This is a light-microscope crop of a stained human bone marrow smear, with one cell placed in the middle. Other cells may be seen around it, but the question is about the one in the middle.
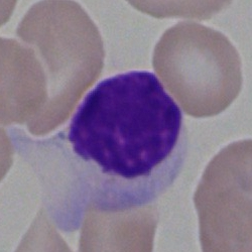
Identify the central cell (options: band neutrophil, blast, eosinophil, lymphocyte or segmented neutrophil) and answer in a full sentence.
The cell at the middle of the frame should be recorded as a lymphocyte.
